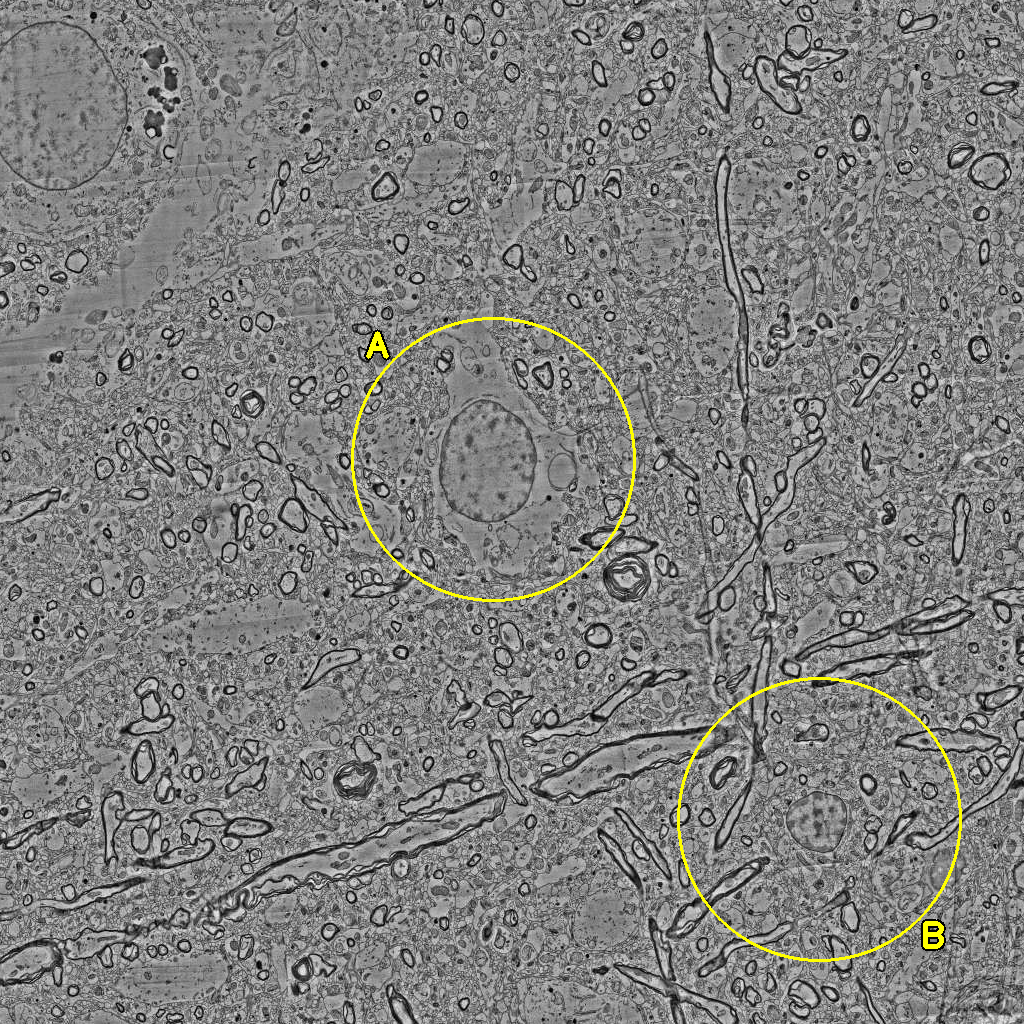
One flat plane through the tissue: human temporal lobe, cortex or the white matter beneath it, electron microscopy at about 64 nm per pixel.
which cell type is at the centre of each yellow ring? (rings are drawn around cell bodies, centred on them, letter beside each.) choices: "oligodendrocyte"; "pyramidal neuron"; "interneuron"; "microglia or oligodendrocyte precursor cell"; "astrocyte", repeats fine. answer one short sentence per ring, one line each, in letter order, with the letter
Ring A is an astrocyte.
Ring B is a microglial cell or oligodendrocyte precursor cell.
